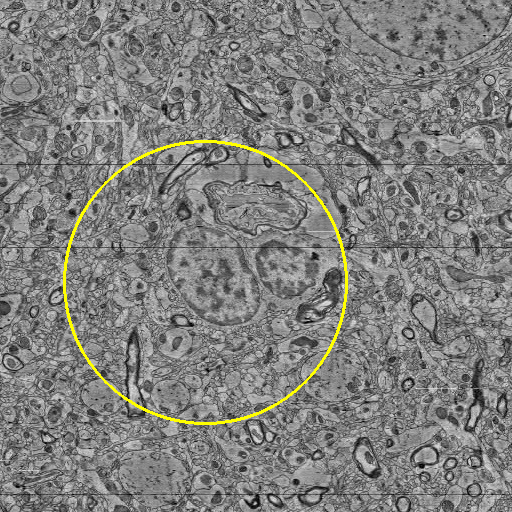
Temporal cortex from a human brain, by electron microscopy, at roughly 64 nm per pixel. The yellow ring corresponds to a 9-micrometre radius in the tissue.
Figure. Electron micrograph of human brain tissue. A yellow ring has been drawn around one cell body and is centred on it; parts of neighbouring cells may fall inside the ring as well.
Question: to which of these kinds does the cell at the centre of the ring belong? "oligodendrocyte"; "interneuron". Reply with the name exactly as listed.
oligodendrocyte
